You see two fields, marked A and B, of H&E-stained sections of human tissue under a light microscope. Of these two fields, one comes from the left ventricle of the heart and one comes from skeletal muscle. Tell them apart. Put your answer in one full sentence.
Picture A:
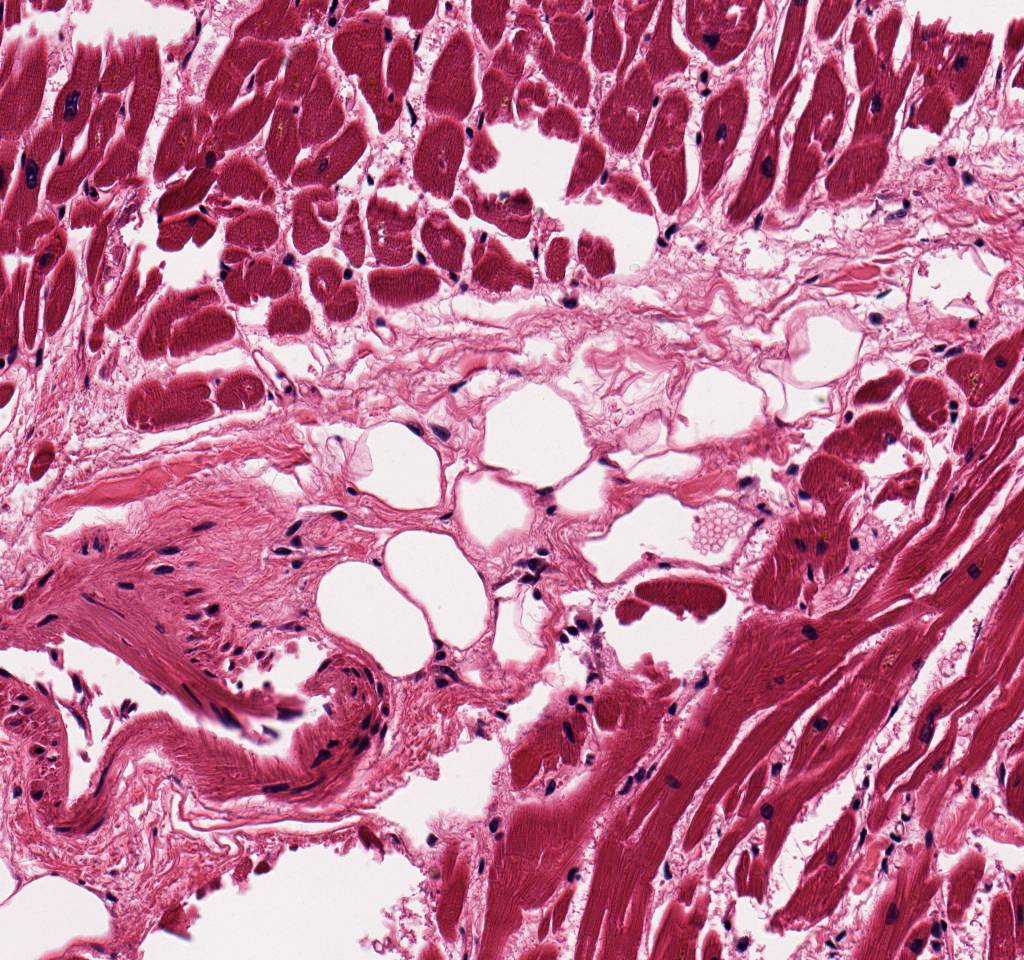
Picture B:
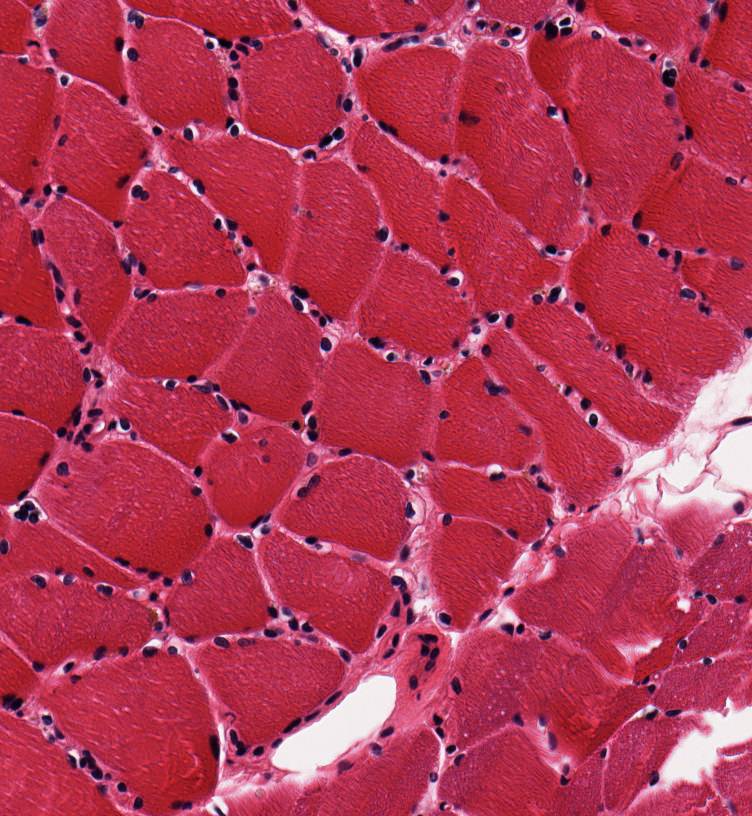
Picture B comes from skeletal muscle, while picture A comes from the left ventricle of the heart.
